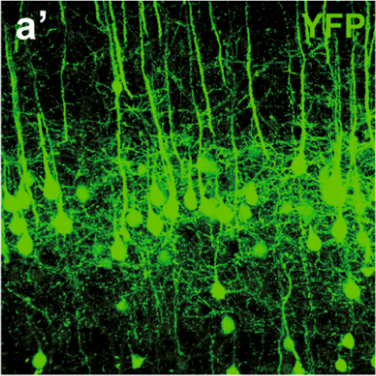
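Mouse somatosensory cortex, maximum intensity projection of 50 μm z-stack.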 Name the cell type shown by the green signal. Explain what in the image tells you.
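Green cell bodies are triangular. Each soma sends a long thick dendrite straight upward, all parallel. The somata lie together in a band across the field. So: layer V pyramidal neurons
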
